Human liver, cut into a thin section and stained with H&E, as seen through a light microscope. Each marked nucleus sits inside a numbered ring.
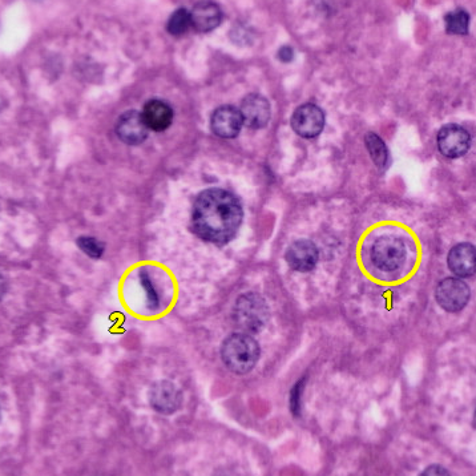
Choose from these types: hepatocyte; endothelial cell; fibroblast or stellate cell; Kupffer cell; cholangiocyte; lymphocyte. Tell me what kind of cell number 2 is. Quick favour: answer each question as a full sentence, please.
Denoted by the label 2 in the section is an endothelial cell.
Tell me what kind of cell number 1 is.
Cell 1 in the field is a hepatocyte.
